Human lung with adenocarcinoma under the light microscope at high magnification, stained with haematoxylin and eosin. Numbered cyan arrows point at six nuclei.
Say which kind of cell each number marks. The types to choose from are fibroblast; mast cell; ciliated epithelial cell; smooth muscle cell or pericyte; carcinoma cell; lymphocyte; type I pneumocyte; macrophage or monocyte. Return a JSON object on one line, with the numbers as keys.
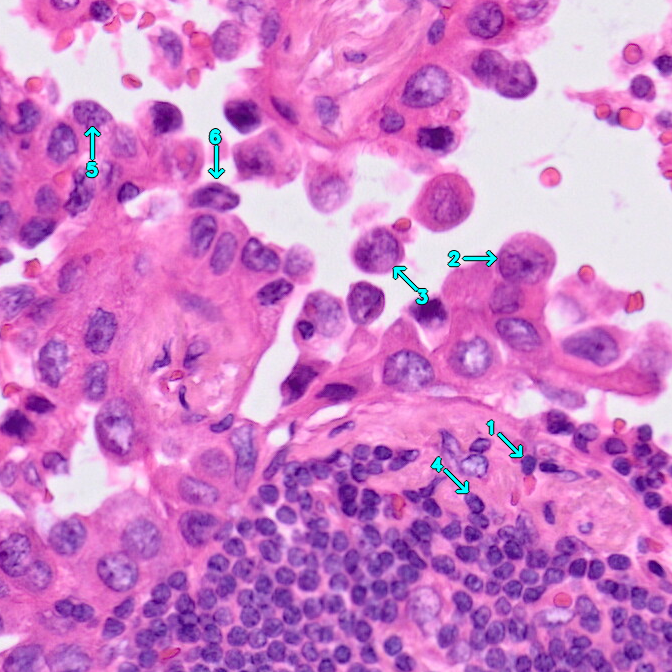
{"1": "lymphocyte", "2": "carcinoma cell", "3": "carcinoma cell", "4": "lymphocyte", "5": "carcinoma cell", "6": "carcinoma cell"}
